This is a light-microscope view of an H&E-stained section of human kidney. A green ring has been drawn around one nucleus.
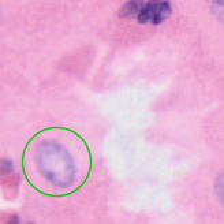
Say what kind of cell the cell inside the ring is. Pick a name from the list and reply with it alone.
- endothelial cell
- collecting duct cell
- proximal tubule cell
proximal tubule cell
